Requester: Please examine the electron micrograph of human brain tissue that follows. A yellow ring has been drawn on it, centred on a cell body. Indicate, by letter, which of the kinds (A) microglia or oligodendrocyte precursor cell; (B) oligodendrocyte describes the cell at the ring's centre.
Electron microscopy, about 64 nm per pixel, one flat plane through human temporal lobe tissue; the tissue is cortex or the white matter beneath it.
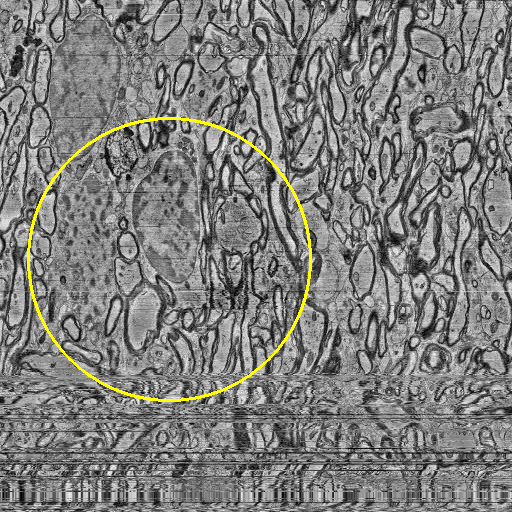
A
